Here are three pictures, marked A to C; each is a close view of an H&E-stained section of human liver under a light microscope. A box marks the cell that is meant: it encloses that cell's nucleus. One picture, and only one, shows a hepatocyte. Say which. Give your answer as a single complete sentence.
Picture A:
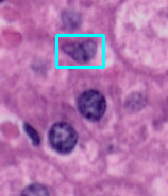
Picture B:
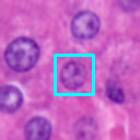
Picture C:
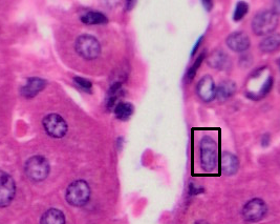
Picture B is the one that shows the hepatocyte.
